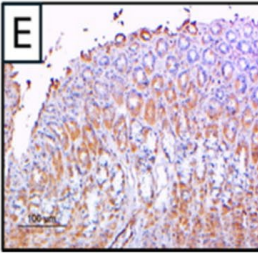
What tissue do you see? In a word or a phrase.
gastric tissues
